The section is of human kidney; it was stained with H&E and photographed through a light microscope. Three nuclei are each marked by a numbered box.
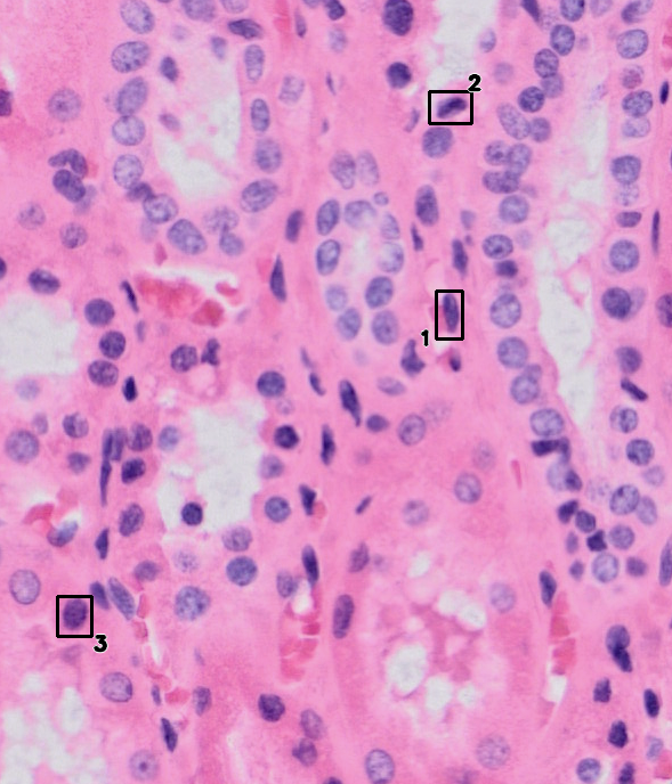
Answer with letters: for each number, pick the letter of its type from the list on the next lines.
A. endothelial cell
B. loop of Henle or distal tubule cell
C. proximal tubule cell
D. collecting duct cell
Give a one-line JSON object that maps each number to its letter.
{"1": "A", "2": "B", "3": "C"}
